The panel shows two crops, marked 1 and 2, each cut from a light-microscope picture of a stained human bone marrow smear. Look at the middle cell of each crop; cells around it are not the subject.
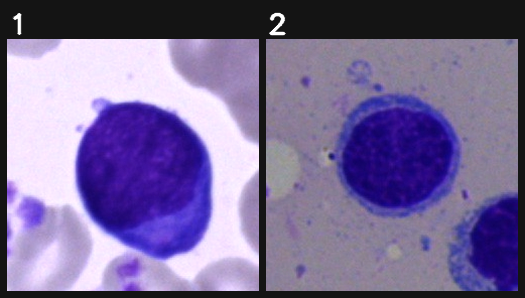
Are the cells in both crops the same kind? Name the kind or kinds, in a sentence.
No, crop 1 and crop 2 show a blast and a lymphocyte respectively.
